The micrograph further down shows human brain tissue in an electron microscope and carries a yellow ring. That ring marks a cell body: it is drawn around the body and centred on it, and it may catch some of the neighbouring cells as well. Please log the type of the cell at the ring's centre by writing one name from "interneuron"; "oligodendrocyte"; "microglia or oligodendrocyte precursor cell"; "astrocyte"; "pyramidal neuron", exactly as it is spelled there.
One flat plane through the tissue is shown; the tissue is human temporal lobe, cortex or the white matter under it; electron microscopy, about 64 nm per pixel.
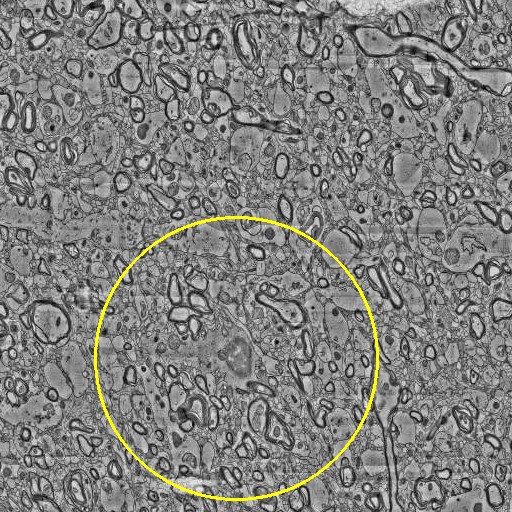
oligodendrocyte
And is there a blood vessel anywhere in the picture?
No.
